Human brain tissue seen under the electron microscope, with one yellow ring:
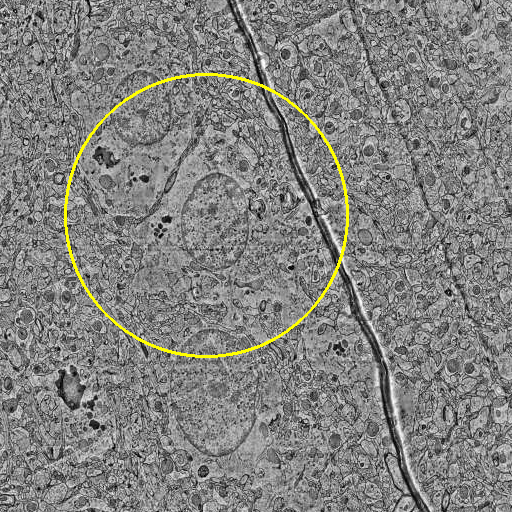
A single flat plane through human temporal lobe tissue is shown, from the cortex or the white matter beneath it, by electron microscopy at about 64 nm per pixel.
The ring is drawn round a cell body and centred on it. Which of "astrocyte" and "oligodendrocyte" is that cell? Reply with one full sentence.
The picture shows an astrocyte at the very centre of the yellow ring.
